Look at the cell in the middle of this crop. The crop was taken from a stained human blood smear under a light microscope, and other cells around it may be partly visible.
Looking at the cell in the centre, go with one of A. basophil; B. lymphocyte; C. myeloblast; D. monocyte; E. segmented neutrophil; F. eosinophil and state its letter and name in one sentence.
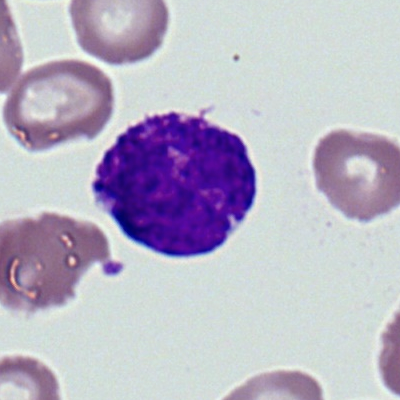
The correct identification, given in option A, is that the central cell is a basophil.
